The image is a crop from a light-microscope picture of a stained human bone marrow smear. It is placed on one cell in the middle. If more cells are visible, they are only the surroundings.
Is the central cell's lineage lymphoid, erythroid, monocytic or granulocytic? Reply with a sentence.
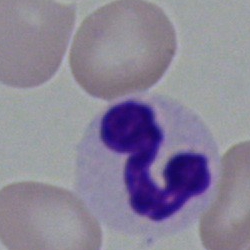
The central cell is regarded as belonging to the granulocytic lineage.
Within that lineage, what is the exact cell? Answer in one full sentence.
This crop's central cell is a segmented neutrophil.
